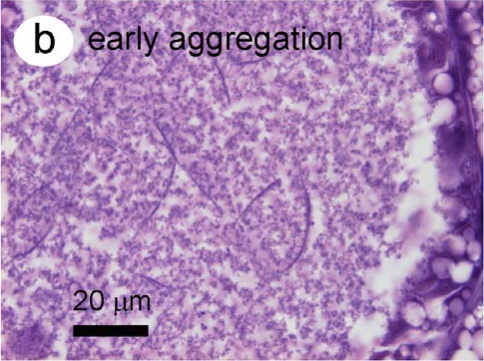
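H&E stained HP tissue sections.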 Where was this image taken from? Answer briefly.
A: Tubule lumen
